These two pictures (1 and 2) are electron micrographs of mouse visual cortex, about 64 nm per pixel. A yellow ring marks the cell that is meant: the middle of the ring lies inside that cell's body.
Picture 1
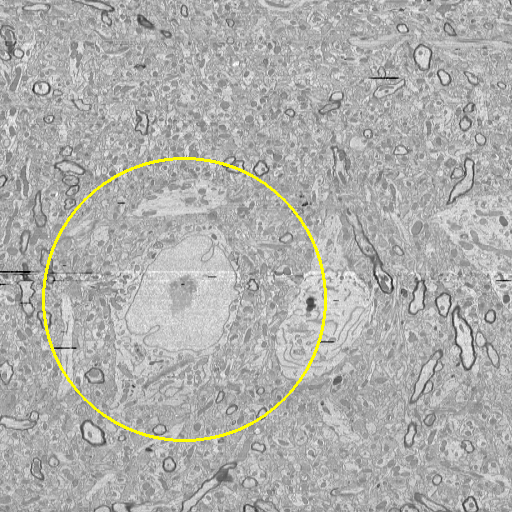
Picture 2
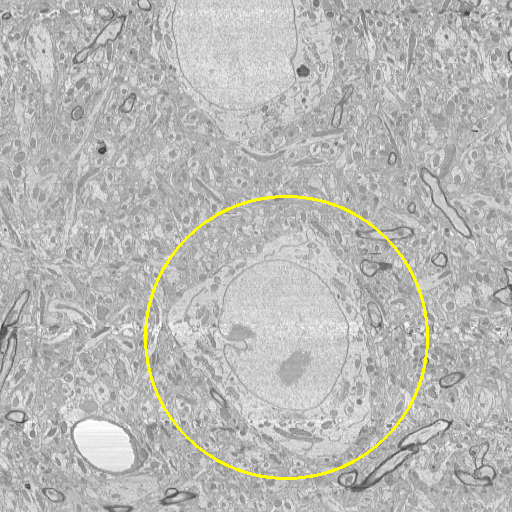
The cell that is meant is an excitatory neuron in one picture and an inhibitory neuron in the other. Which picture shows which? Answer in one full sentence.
It is picture 1 that shows an inhibitory neuron, and picture 2 that shows an excitatory neuron.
